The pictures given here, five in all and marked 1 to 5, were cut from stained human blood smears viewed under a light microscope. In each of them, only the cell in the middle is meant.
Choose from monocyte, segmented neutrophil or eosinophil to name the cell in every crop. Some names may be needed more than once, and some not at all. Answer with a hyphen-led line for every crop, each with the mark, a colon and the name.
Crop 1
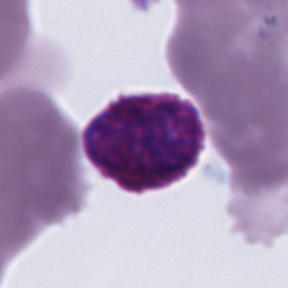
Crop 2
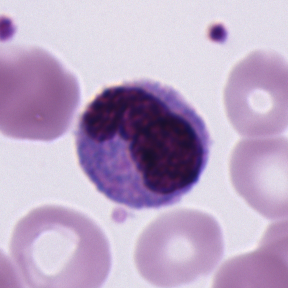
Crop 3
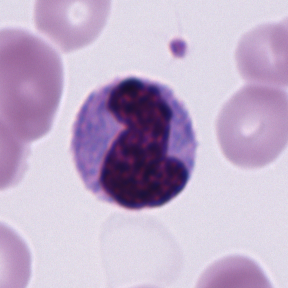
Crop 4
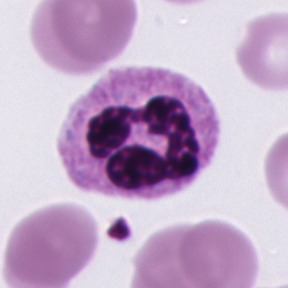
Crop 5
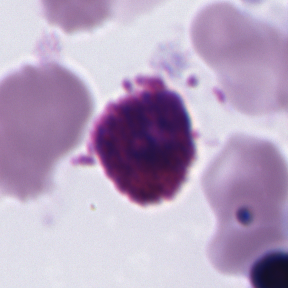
- 1: eosinophil
- 2: monocyte
- 3: monocyte
- 4: segmented neutrophil
- 5: eosinophil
